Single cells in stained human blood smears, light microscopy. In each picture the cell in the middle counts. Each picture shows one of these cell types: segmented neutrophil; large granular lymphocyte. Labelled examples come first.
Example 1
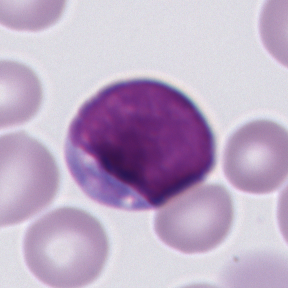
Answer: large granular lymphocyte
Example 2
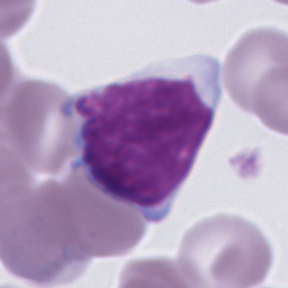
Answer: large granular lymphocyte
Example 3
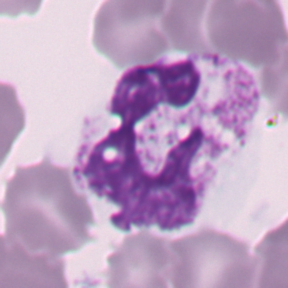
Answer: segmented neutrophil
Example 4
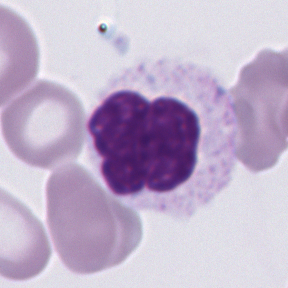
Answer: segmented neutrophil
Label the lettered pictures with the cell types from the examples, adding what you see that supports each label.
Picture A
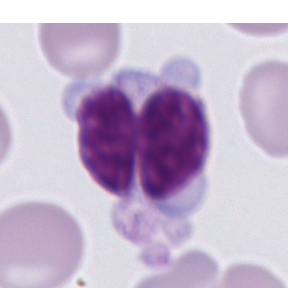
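Label: large granular lymphocyte. The cytoplasm is scant compared with the size of the nucleus.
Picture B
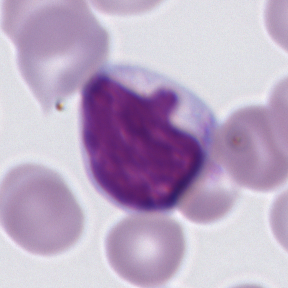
Label: large granular lymphocyte. The cytoplasm is a narrow rim that is widest at the upper right of the cell.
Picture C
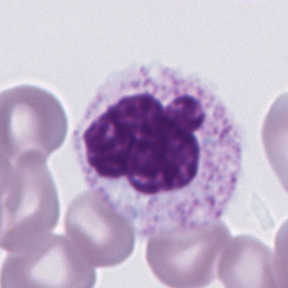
Label: segmented neutrophil. The granules are scattered across the whole cytoplasm.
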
